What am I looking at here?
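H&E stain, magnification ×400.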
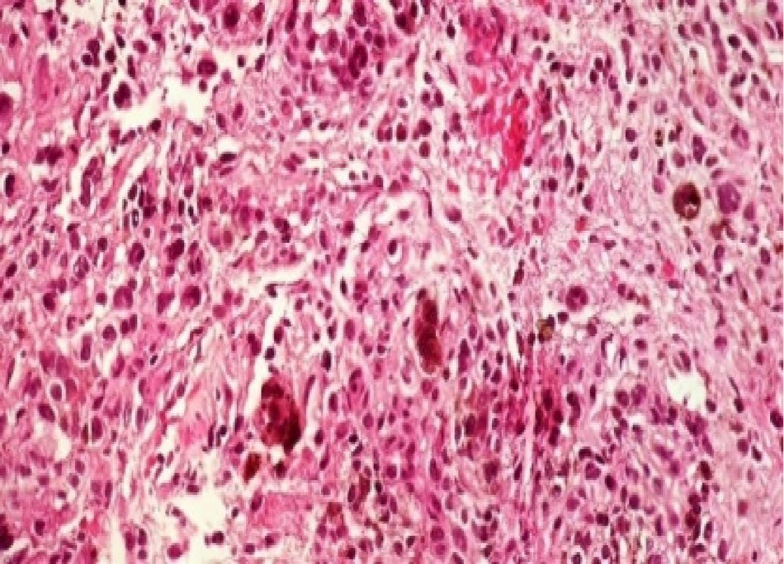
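This is a hypercellular neoplastic growth of pleomorphic epithelioid cells arranged in sheets. Scattered cells and small clumps contain coarse dark brown melanin pigment, distributed focally across the field. Small areas of red blood cells are present among the tumor cells.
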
